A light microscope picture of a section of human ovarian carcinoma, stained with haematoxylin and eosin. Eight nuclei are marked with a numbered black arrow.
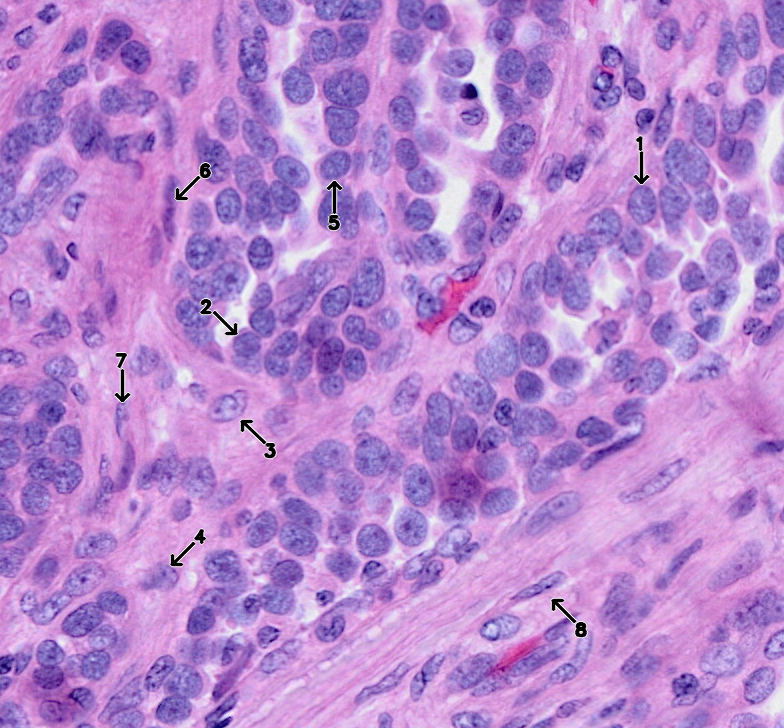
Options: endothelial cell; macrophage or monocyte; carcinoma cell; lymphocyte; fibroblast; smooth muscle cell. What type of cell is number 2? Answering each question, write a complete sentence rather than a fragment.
The cell marked with number 2 is a carcinoma cell.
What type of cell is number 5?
What the number 5 marks in this field is a carcinoma cell.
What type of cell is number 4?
The nucleus labeled 4 belongs to a fibroblast.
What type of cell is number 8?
The numbered cell 8 in this field is a fibroblast.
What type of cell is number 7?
Identified as a fibroblast is the cell bearing the number 7.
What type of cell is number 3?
Cell 3, among those numbered, is a fibroblast.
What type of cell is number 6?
The cell identified by number 6 is a fibroblast.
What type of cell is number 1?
The cell pointed out by number 1 is a carcinoma cell.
